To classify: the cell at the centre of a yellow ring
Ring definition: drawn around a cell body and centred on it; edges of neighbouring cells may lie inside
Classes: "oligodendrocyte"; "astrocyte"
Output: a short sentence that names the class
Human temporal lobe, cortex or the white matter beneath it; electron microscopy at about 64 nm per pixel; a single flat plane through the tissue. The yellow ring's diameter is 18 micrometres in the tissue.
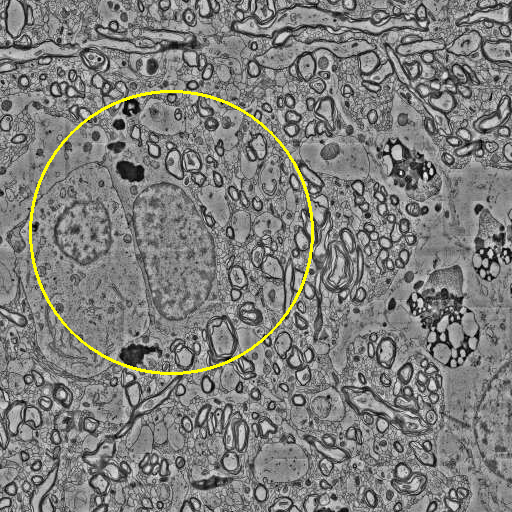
The ringed cell is an oligodendrocyte.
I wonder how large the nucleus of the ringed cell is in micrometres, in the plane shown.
The nucleus comes to approximately 9 by 5 micrometres and is clearly longer than it is wide in this plane.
